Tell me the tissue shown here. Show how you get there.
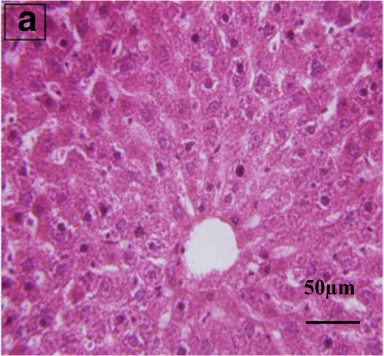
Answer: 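Cords of polygonal cells with round central nuclei radiate from a central vein. Narrow sinusoidal spaces run between the cell cords.
Conclusion: liver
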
